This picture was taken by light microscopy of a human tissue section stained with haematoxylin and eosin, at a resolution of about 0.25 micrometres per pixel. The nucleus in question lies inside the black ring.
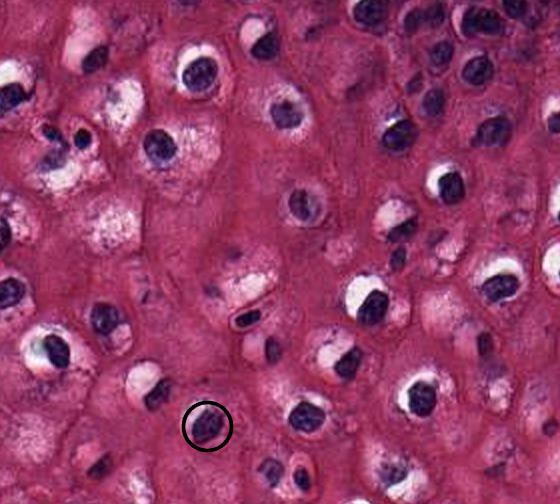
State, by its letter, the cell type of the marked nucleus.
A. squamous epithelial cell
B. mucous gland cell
A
